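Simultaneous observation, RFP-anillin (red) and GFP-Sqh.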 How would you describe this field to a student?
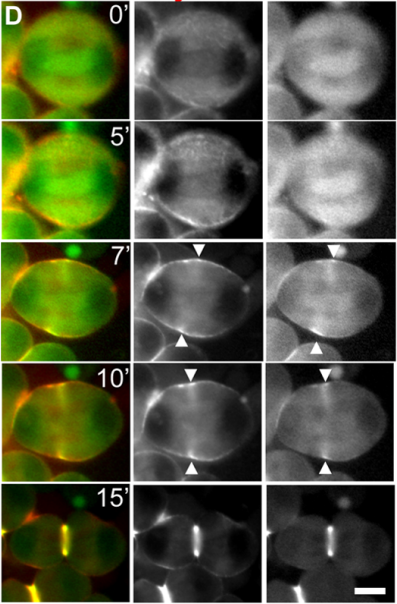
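A time-lapse series of a large rounded spermatocyte outlined by signal along its cell edge. With time the signal gathers into bright spots on opposite sides of the cell at its equator, and in the last frame the cell is pinched in with a bright band running across its middle between the two halves.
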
